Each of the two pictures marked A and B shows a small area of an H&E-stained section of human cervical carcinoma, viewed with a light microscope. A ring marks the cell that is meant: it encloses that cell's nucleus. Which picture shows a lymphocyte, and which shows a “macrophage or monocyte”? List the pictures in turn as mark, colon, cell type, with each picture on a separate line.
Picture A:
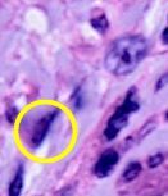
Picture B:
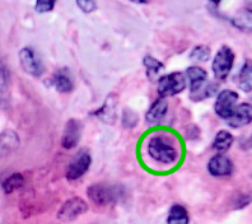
A: macrophage or monocyte
B: lymphocyte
